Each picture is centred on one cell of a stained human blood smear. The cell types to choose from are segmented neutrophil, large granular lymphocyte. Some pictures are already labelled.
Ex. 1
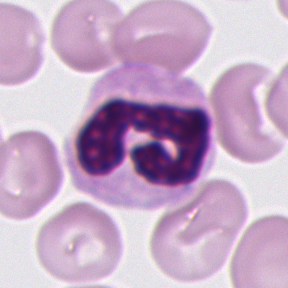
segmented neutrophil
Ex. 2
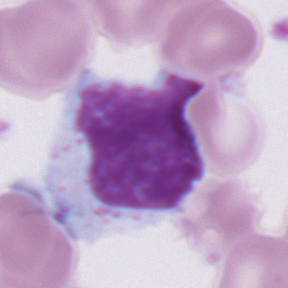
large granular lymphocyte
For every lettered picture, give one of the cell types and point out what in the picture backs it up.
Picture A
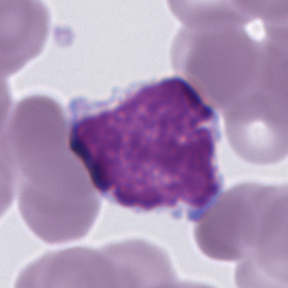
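Answer: large granular lymphocyte. The cytoplasm forms only a thin, patchy rim around the nucleus.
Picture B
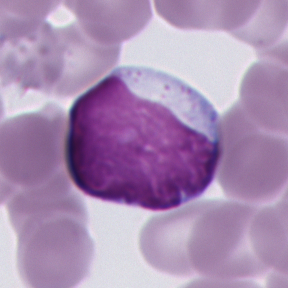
Answer: large granular lymphocyte. The nucleus fills most of the cell, leaving cytoplasm only as a crescent along the upper right.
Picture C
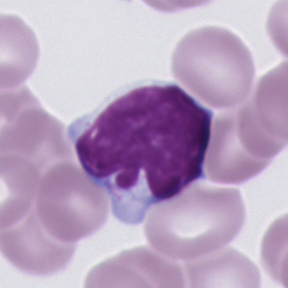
Answer: large granular lymphocyte. The cytoplasm is a scant pale blue rim, widest at the lower left.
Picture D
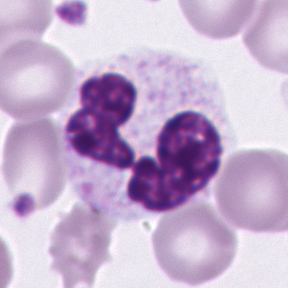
Answer: segmented neutrophil. The cytoplasm is plentiful and pale pinkish-lilac.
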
